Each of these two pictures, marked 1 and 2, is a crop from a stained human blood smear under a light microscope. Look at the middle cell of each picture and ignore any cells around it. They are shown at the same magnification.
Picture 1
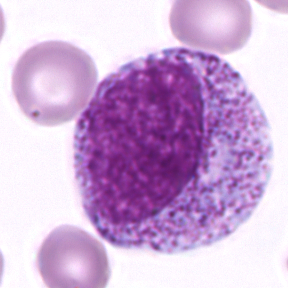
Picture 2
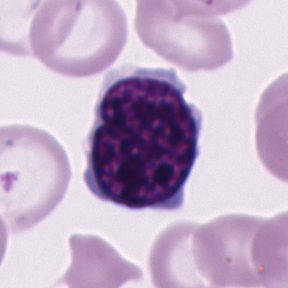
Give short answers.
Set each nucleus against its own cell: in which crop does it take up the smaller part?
1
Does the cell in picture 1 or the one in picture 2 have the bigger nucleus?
1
